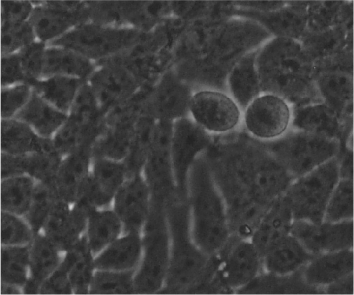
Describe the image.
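Cultured cells seen by phase contrast, forming a dense flattened monolayer. Most cells are spread and polygonal to irregular, with thin bright boundaries between neighbours and a granular grey cytoplasm surrounding a slightly darker nuclear region. The sheet covers nearly the whole field with little free space. Near the centre two cells stand out as rounded, oval bodies with sharp bright rims, lying on top of the flat layer, unlike the surrounding spread cells.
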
